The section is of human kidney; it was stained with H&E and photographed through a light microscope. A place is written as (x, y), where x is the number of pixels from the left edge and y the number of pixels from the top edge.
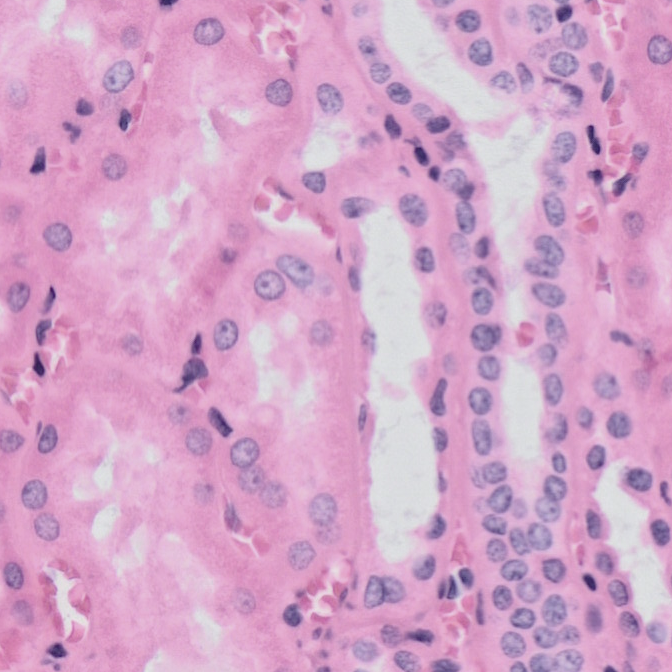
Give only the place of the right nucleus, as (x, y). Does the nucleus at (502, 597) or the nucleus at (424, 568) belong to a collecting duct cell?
(502, 597)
